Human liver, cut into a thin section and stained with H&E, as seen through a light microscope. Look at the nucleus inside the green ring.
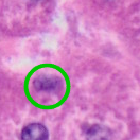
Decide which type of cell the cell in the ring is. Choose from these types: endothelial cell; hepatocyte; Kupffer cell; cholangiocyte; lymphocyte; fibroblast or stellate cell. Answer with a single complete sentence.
The cell in the ring is an endothelial cell.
